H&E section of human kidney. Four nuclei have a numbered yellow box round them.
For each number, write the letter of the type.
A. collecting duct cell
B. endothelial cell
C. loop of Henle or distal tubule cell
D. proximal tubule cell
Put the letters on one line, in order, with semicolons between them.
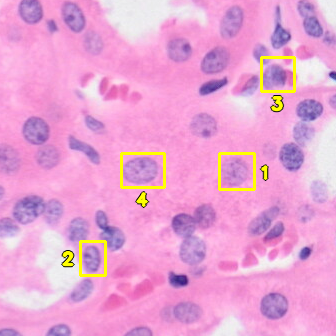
D; A; B; D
